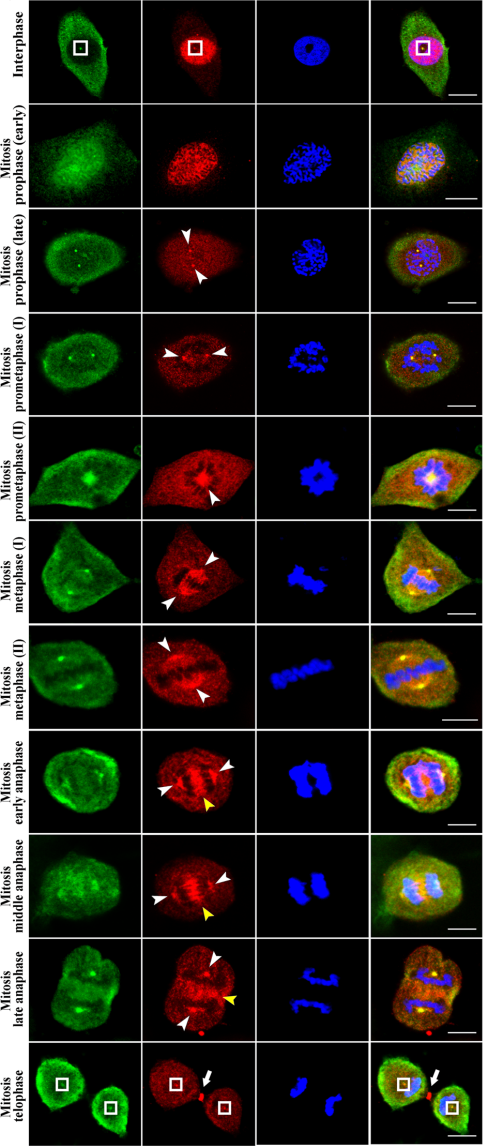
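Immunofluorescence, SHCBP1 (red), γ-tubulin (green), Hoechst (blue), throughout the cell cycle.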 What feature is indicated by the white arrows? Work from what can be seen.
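Midbody. The arrows point to a small bright dot between two separating daughter cells. The dot lies between two reformed nuclei.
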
